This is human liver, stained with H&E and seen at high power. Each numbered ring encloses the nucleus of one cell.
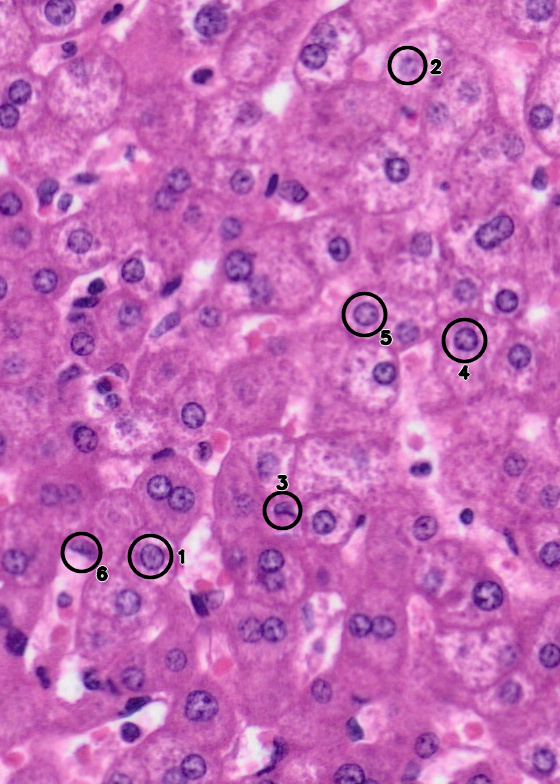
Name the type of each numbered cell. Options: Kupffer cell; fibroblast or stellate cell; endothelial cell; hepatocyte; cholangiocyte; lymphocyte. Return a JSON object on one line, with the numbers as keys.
{"1": "hepatocyte", "2": "hepatocyte", "3": "endothelial cell", "4": "hepatocyte", "5": "hepatocyte", "6": "endothelial cell"}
